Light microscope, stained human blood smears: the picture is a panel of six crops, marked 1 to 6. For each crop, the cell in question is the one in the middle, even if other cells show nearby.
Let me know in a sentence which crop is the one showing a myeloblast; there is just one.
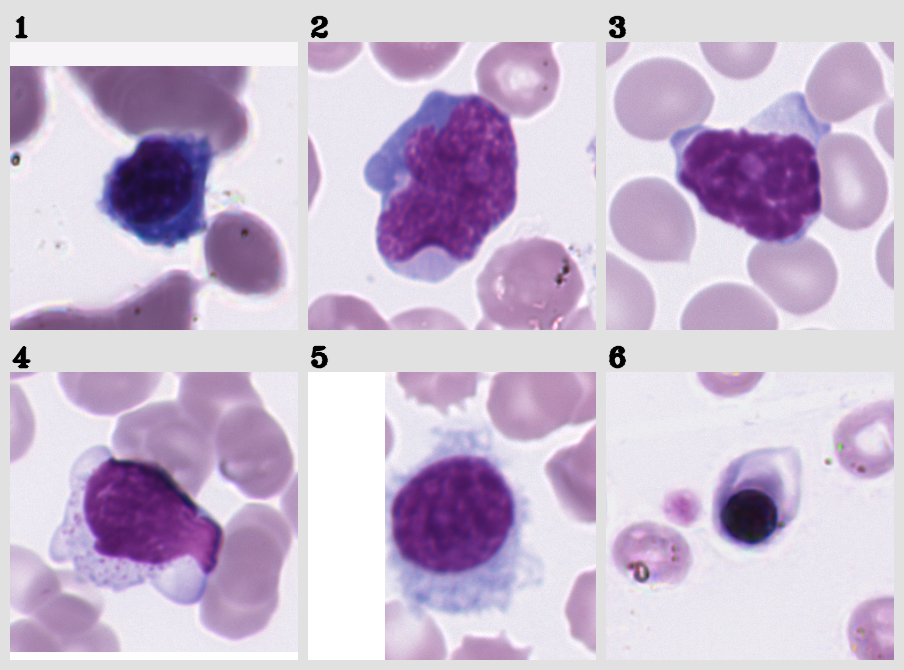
Crop 2 is the one that shows a myeloblast.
